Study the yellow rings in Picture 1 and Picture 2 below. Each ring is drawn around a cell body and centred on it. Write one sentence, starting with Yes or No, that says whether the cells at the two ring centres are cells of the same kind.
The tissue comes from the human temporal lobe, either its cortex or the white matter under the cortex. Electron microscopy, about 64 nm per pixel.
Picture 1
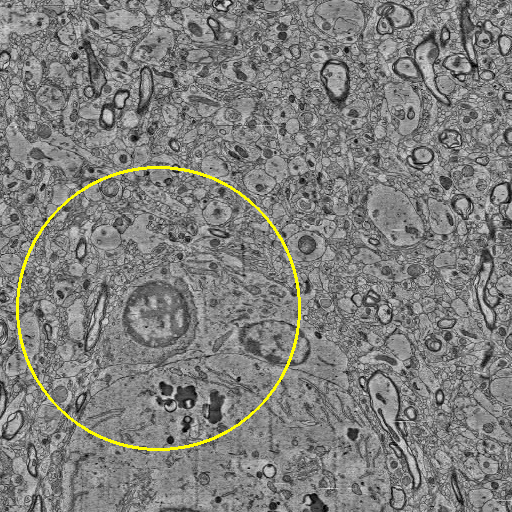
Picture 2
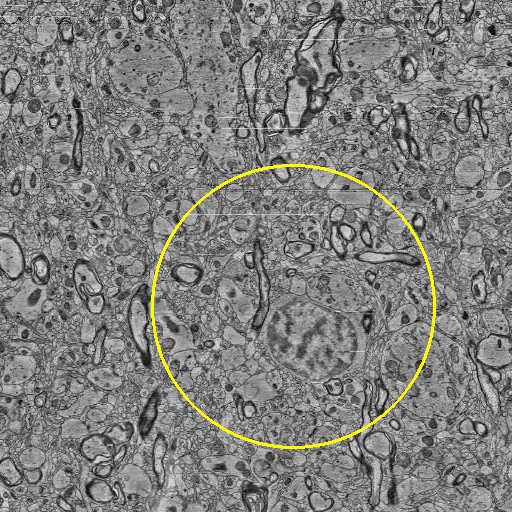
Yes, the cells at both ring centres are of the same kind.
